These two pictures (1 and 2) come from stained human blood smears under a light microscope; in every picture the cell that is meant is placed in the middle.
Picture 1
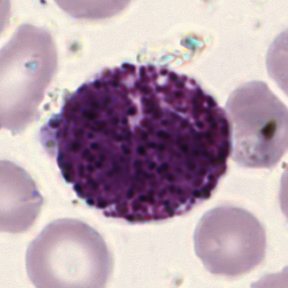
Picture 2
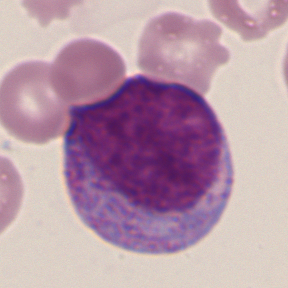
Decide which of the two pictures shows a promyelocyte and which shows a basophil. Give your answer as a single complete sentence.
It is picture 1 that shows a basophil, and picture 2 that shows a promyelocyte.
